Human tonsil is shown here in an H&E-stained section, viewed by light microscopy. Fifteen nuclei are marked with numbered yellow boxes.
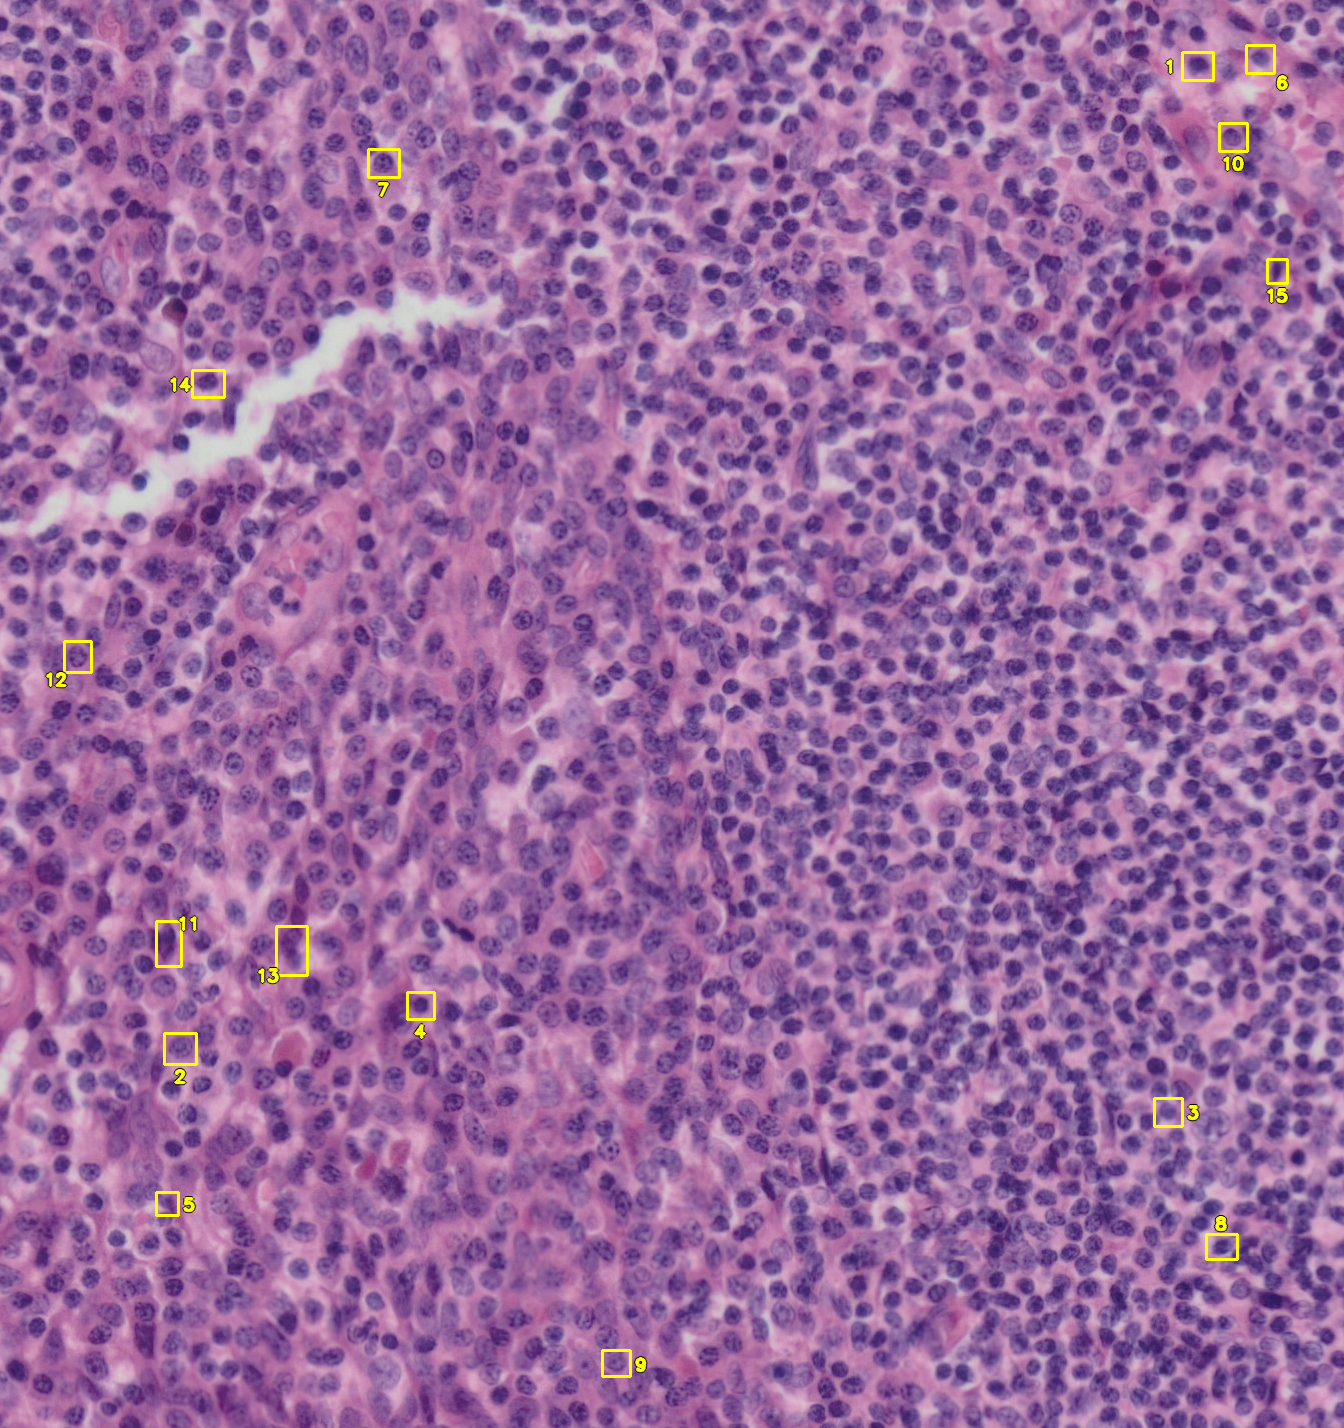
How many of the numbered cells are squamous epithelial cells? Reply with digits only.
4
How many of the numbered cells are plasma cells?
5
